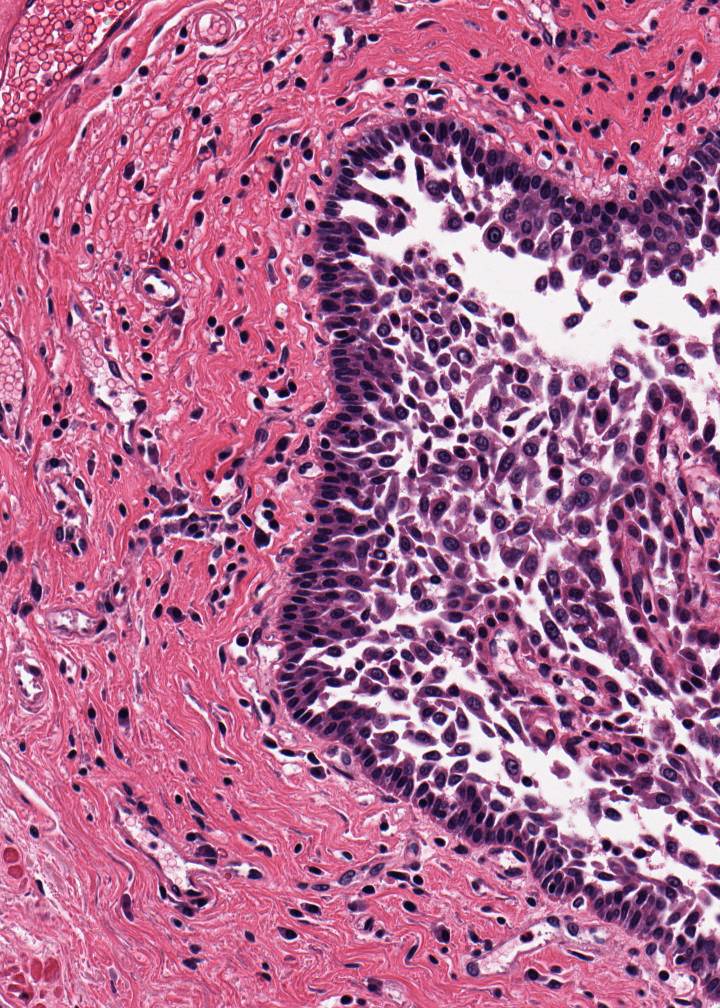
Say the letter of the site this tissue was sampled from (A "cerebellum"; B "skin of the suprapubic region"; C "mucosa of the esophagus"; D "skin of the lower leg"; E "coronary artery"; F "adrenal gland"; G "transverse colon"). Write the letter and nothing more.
C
